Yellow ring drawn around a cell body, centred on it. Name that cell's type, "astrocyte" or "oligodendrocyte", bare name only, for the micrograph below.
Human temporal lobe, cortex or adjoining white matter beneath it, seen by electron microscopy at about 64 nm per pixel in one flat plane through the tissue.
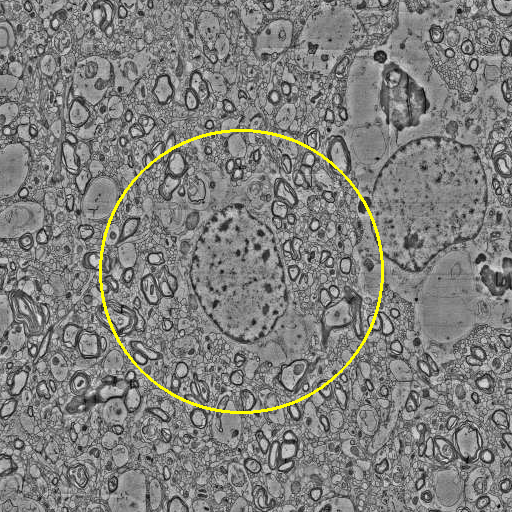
astrocyte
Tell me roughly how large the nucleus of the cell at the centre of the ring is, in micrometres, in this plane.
Approximately 9 x 6 micrometres in this plane.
